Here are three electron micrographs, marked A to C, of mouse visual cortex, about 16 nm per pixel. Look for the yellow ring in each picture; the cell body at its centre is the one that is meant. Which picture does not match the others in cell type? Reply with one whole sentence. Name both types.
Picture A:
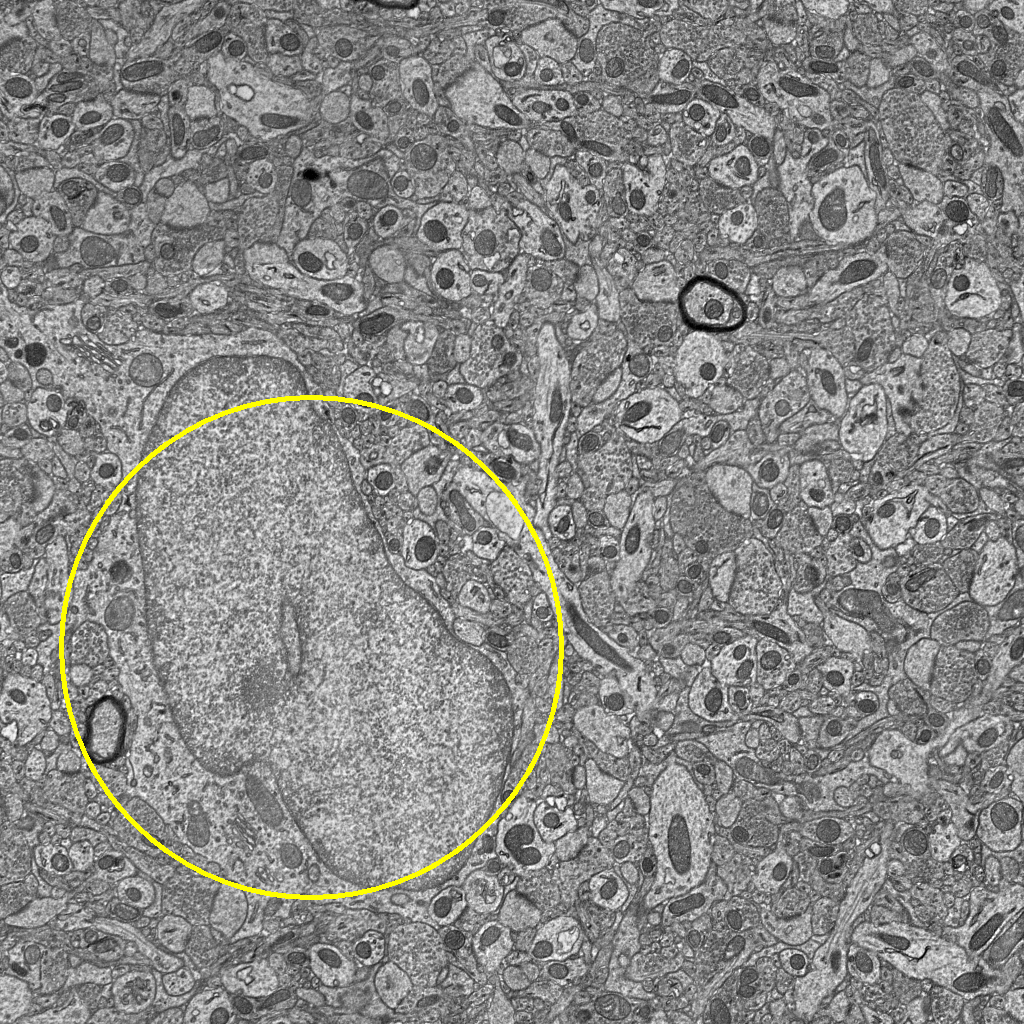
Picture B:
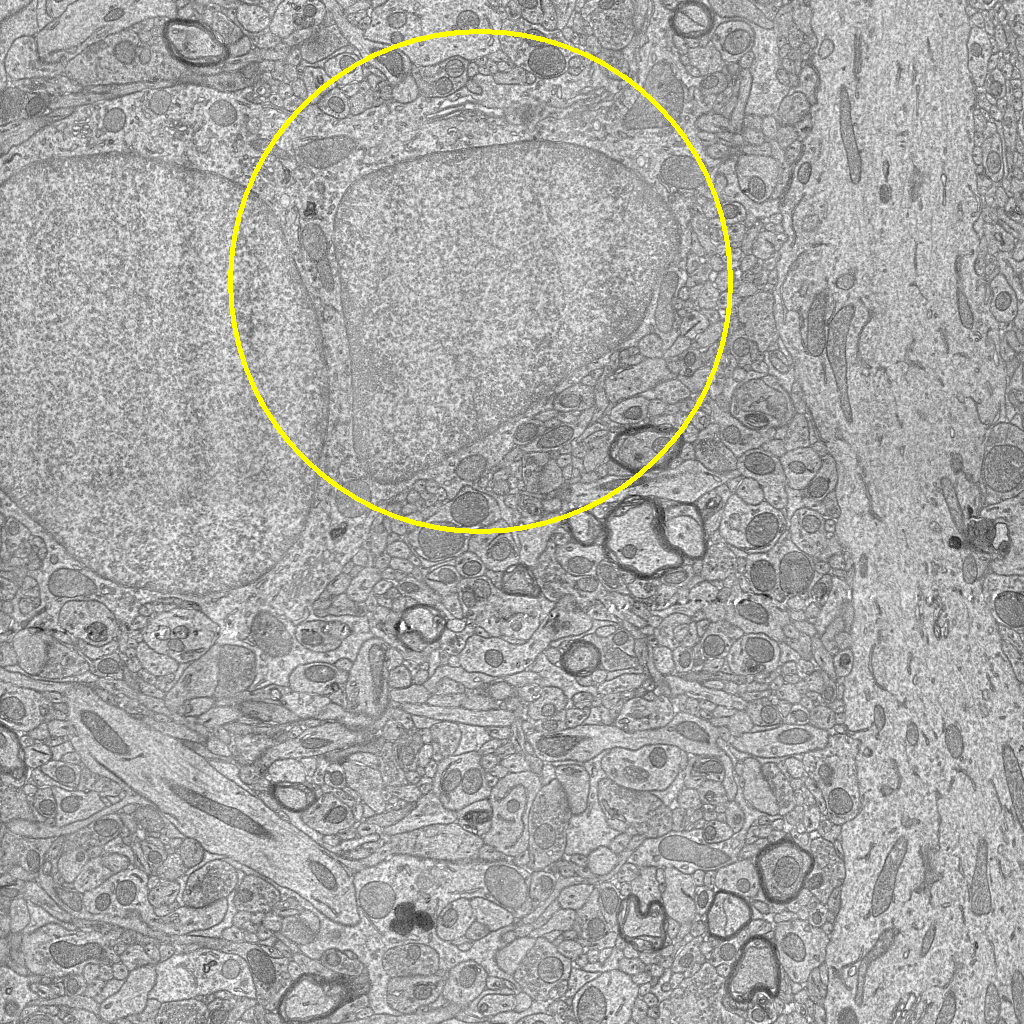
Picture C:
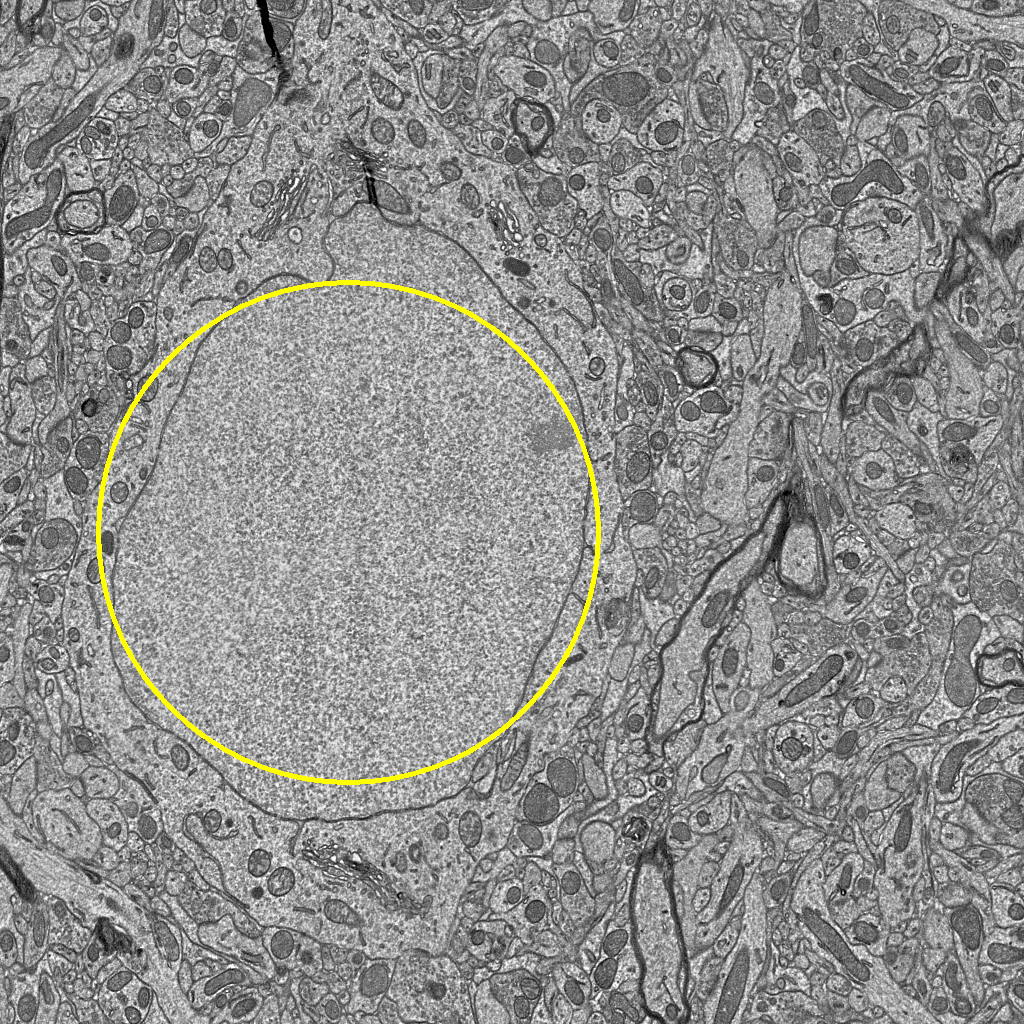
The others show astrocytes, but picture C shows an excitatory neuron.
